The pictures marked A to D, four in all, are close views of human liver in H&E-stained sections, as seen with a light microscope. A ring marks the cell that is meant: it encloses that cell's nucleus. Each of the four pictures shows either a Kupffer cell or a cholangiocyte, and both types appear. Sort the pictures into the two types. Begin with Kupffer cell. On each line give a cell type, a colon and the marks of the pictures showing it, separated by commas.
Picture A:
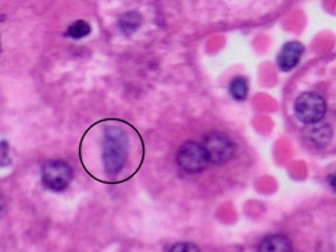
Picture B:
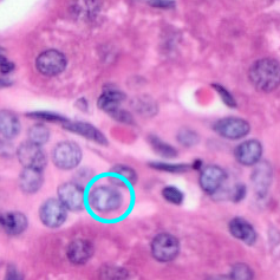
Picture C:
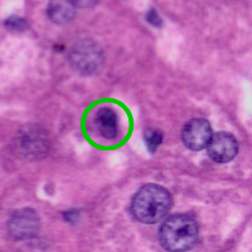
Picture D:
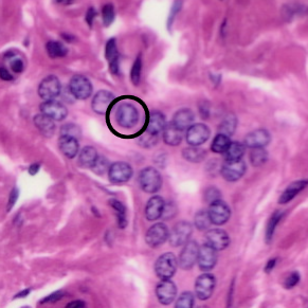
Kupffer cell: A, C
cholangiocyte: B, D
